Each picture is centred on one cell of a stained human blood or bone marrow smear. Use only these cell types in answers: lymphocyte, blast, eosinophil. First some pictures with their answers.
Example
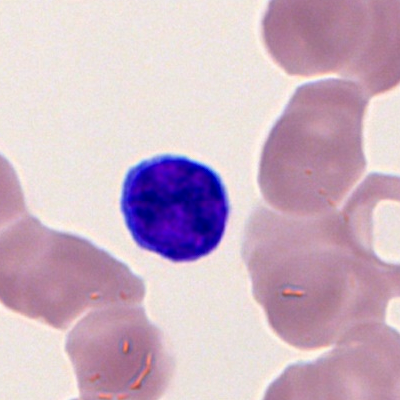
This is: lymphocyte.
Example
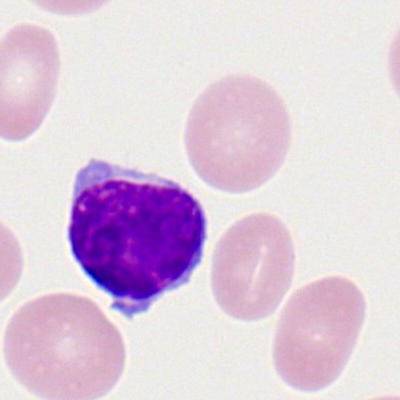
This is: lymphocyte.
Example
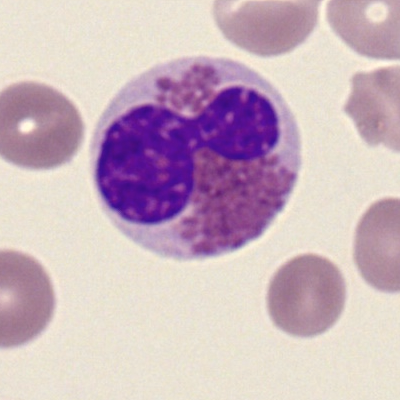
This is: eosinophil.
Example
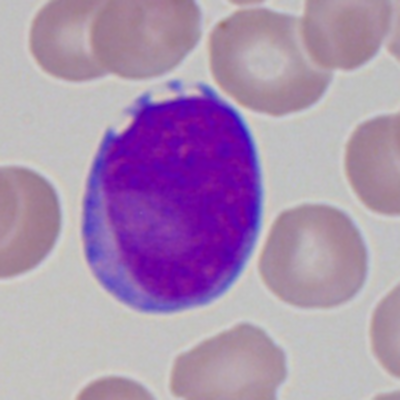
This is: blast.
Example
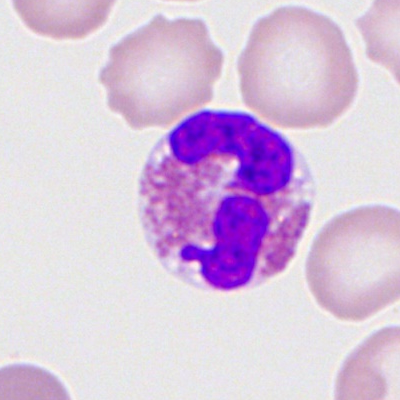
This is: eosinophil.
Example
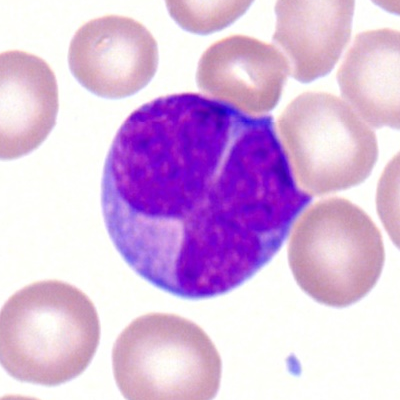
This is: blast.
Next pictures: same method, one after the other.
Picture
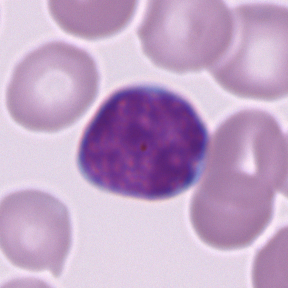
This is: blast.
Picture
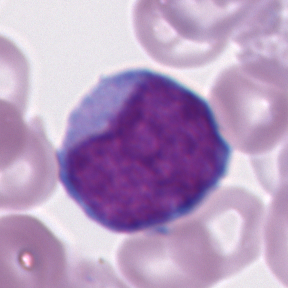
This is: blast.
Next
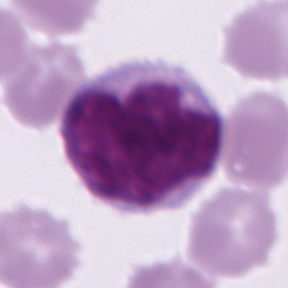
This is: blast.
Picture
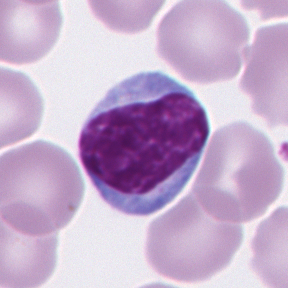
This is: lymphocyte.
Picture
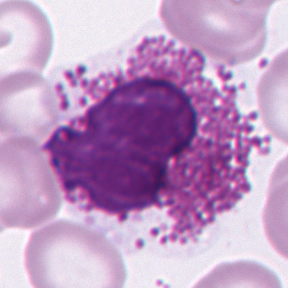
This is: eosinophil.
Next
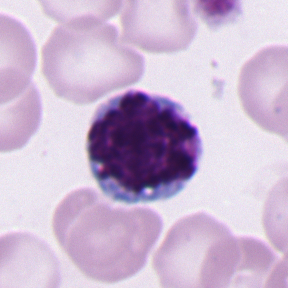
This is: lymphocyte.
